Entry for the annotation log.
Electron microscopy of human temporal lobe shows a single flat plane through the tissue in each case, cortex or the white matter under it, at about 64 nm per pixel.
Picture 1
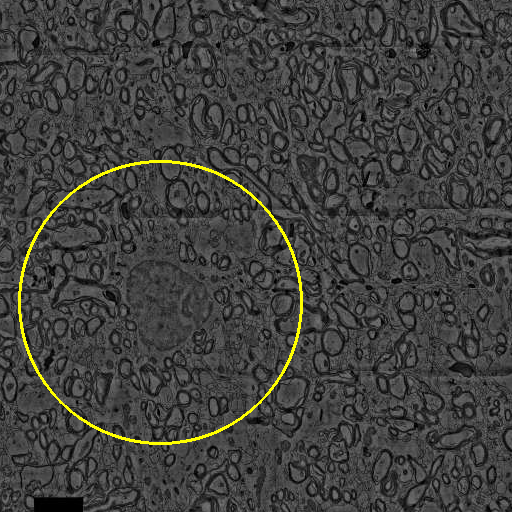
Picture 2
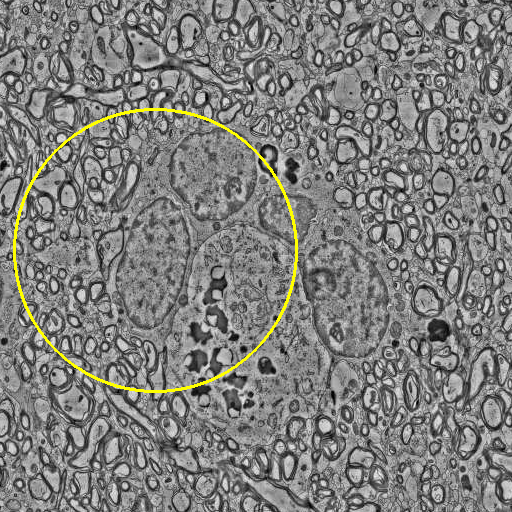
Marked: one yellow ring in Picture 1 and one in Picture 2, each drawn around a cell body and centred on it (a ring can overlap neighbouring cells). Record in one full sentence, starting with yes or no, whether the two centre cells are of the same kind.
Yes, both cells are of the same kind.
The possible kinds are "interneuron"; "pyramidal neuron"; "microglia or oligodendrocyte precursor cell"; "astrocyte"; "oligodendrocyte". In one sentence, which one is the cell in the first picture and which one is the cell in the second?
Each cell, in the first picture and the second, is an oligodendrocyte.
